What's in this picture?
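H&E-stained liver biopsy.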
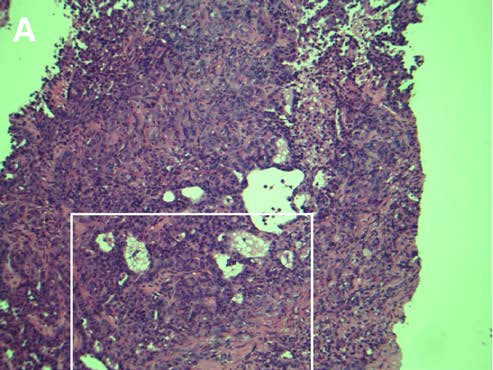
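A core of epithelial tumor tissue is seen, densely cellular, with purple nuclei packed in solid areas. Scattered round clear lumens lie among the cells, mainly in the middle and lower part, and pink fibrous strands run through the tissue.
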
